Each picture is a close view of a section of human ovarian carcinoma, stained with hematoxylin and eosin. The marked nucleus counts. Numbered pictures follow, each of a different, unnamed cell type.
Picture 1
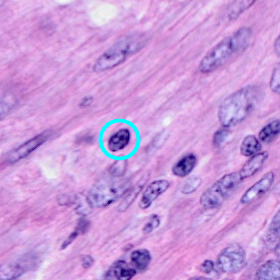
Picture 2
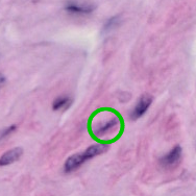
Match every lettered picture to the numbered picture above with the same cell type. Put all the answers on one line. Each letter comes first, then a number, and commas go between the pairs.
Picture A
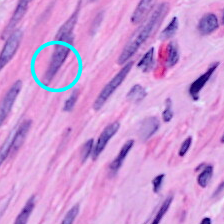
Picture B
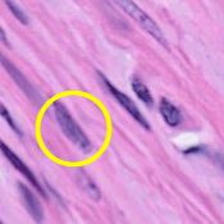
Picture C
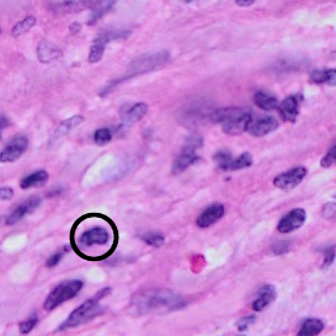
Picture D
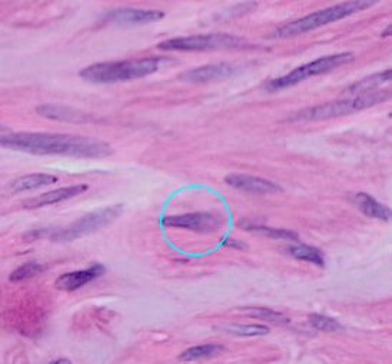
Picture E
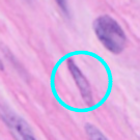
A 2, B 2, C 1, D 2, E 2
